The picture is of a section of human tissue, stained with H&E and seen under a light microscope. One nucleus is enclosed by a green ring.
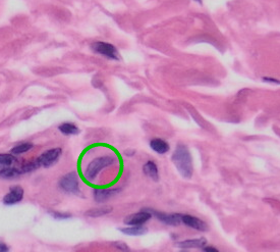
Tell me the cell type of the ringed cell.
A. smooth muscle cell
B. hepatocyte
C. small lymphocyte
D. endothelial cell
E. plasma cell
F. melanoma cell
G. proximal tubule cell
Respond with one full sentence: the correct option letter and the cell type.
It is option D that correctly calls the ringed cell an endothelial cell.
